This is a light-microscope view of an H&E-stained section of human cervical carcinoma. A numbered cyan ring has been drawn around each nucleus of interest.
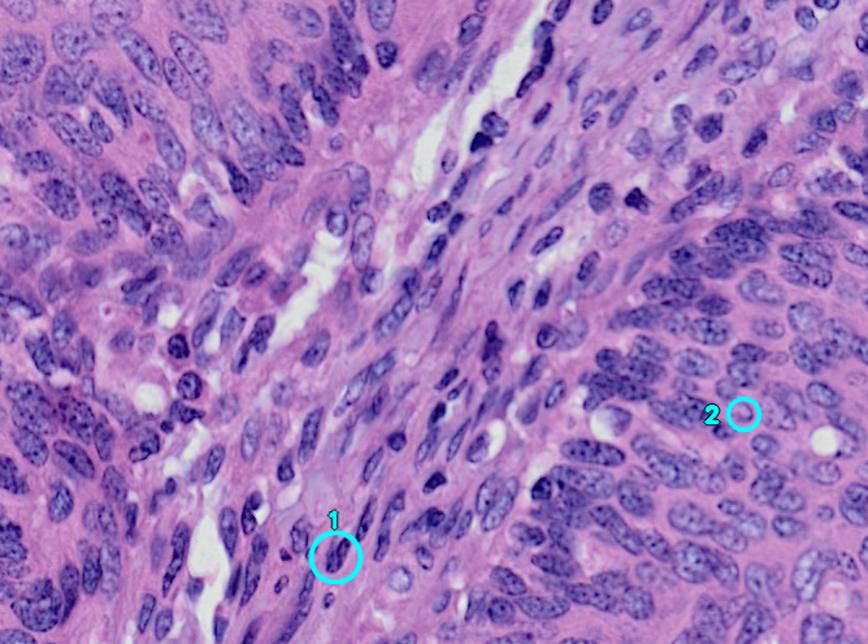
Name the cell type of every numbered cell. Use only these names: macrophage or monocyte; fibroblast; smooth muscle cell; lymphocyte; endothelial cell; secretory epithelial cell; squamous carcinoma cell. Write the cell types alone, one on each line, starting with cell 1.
lymphocyte
squamous carcinoma cell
